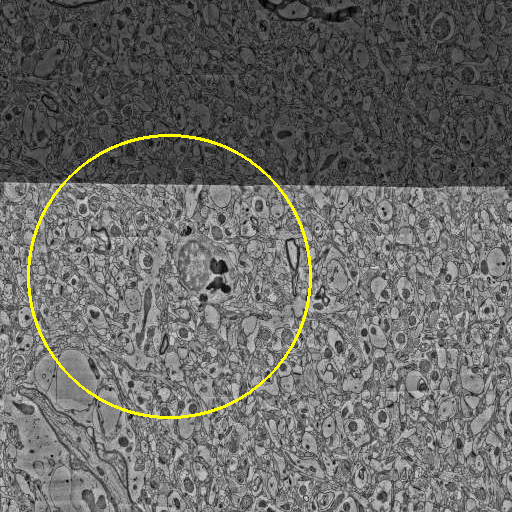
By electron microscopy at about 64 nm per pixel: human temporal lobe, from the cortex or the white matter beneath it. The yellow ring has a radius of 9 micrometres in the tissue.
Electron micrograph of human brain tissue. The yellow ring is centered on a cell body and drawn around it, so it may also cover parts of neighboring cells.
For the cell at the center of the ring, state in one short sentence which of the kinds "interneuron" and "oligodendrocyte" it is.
This ring is centered on an oligodendrocyte.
